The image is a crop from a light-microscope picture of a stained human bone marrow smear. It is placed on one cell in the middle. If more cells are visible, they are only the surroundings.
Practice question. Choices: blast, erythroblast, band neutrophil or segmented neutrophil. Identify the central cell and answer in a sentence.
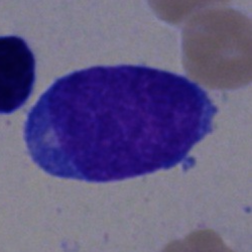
In the central position of this crop, the cell is a blast.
